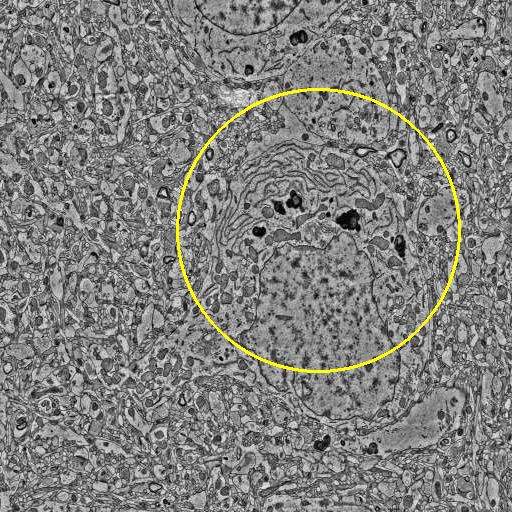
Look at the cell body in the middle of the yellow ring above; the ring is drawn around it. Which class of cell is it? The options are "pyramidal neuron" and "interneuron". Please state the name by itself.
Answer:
interneuron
